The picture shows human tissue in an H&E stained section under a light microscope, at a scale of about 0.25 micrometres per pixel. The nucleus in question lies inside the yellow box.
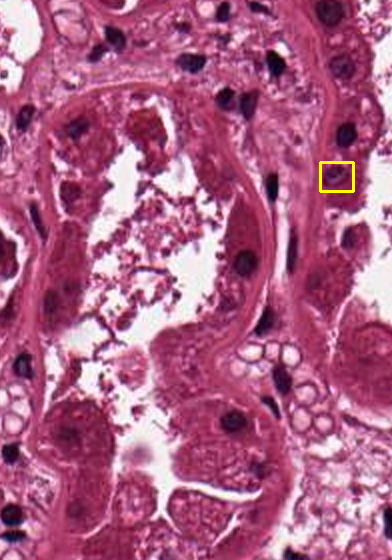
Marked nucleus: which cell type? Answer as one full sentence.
The nucleus that the mark indicates belongs to a proximal tubule cell.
